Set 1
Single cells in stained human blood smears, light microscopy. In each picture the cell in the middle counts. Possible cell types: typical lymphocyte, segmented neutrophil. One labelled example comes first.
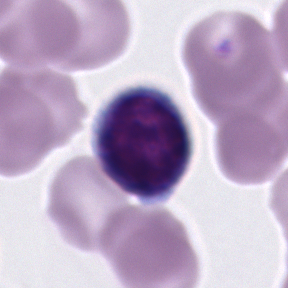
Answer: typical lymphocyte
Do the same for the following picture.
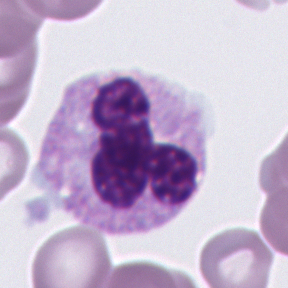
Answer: segmented neutrophil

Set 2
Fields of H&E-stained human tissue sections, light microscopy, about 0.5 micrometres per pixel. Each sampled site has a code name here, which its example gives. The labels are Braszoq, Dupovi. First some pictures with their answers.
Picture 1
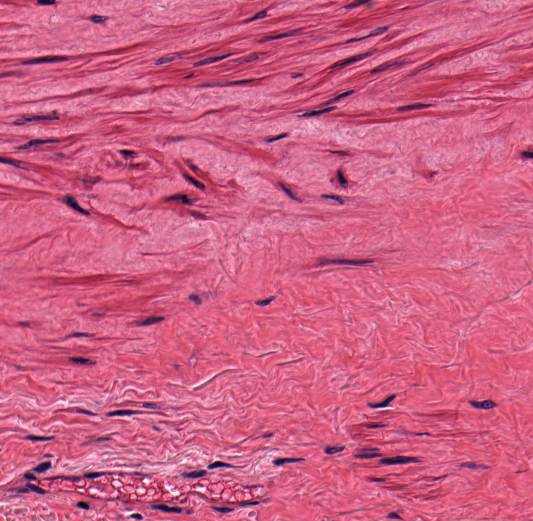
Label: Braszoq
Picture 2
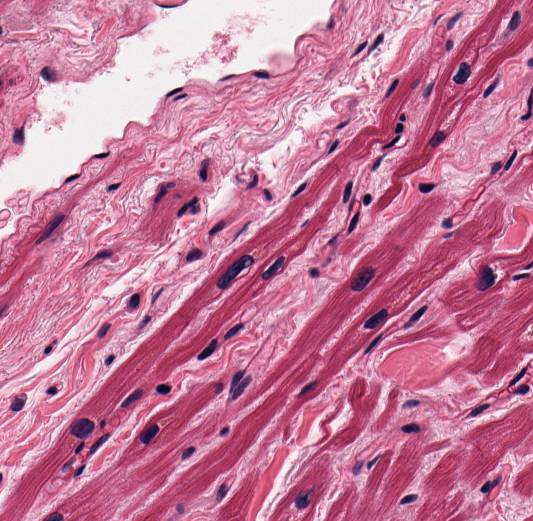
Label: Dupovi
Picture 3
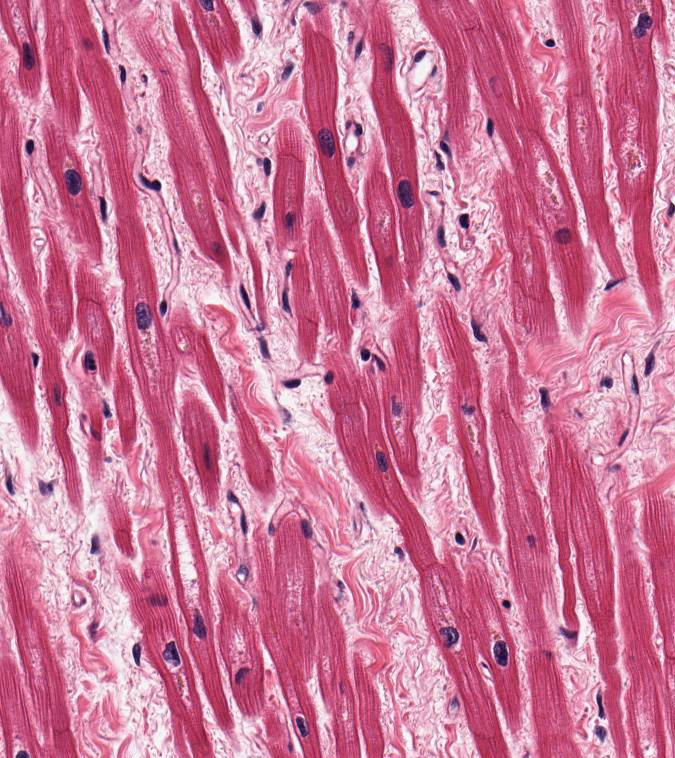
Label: Dupovi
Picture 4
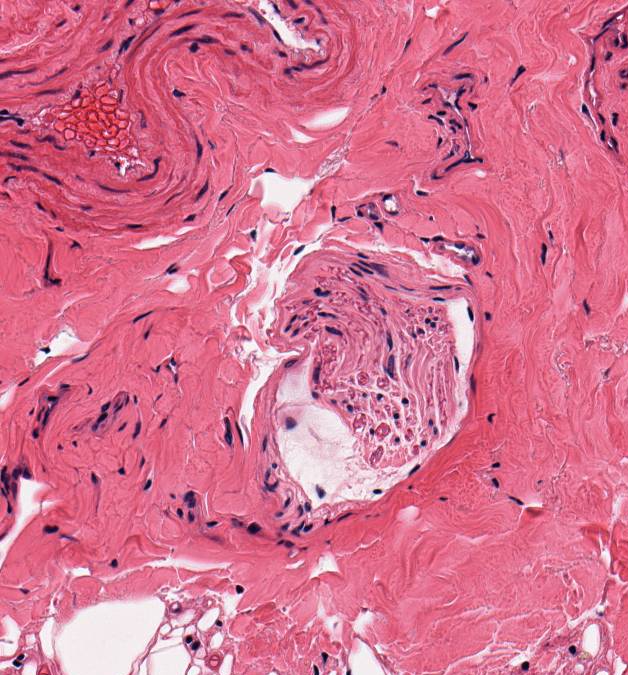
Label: Braszoq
